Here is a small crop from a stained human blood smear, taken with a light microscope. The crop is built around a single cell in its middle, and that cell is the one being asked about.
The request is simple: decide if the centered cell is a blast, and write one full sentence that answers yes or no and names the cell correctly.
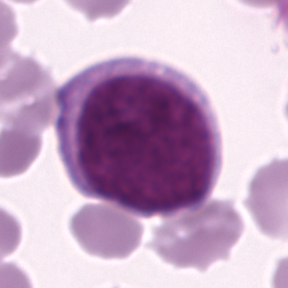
Yes, the cell here in the middle is a blast.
